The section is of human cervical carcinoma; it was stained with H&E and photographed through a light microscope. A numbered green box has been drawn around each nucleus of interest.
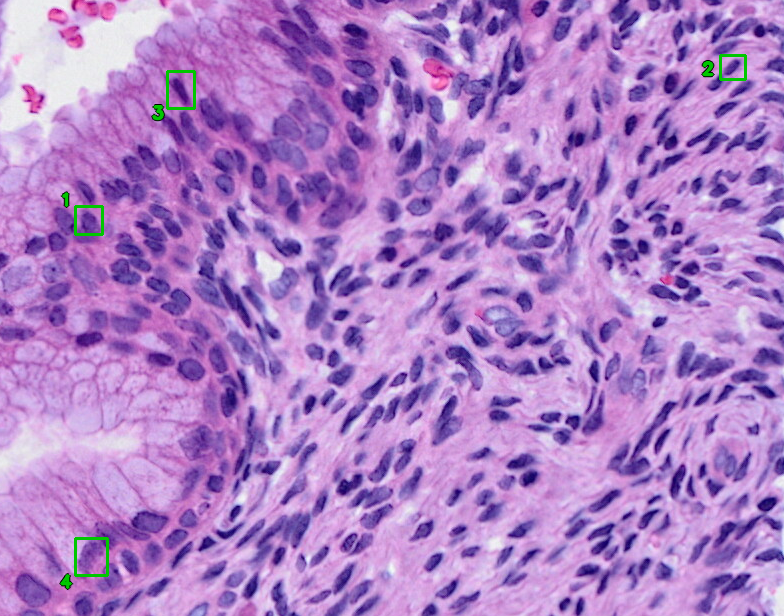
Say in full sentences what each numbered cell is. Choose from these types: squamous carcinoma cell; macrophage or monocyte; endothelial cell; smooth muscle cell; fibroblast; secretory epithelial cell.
Cells 1, 3 and 4 are secretory epithelial cells. Cell 2 is a fibroblast.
